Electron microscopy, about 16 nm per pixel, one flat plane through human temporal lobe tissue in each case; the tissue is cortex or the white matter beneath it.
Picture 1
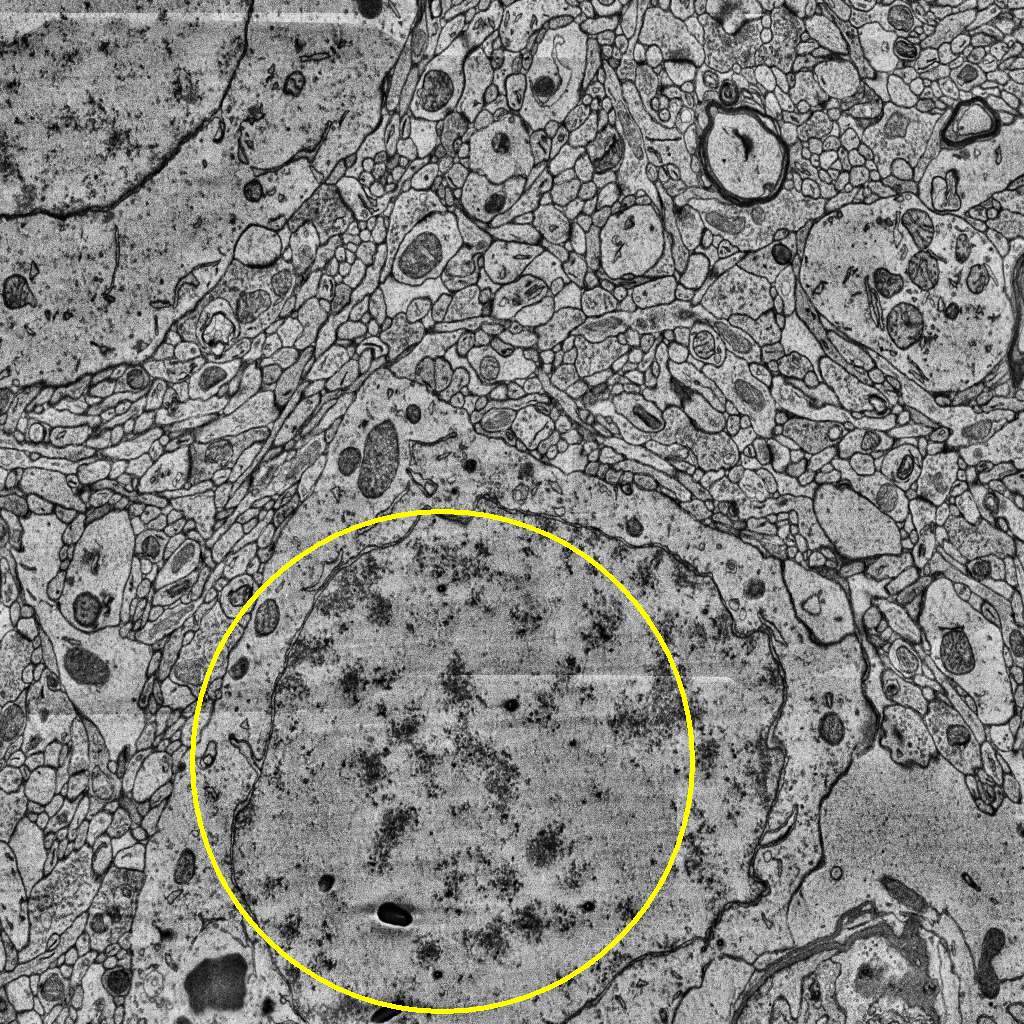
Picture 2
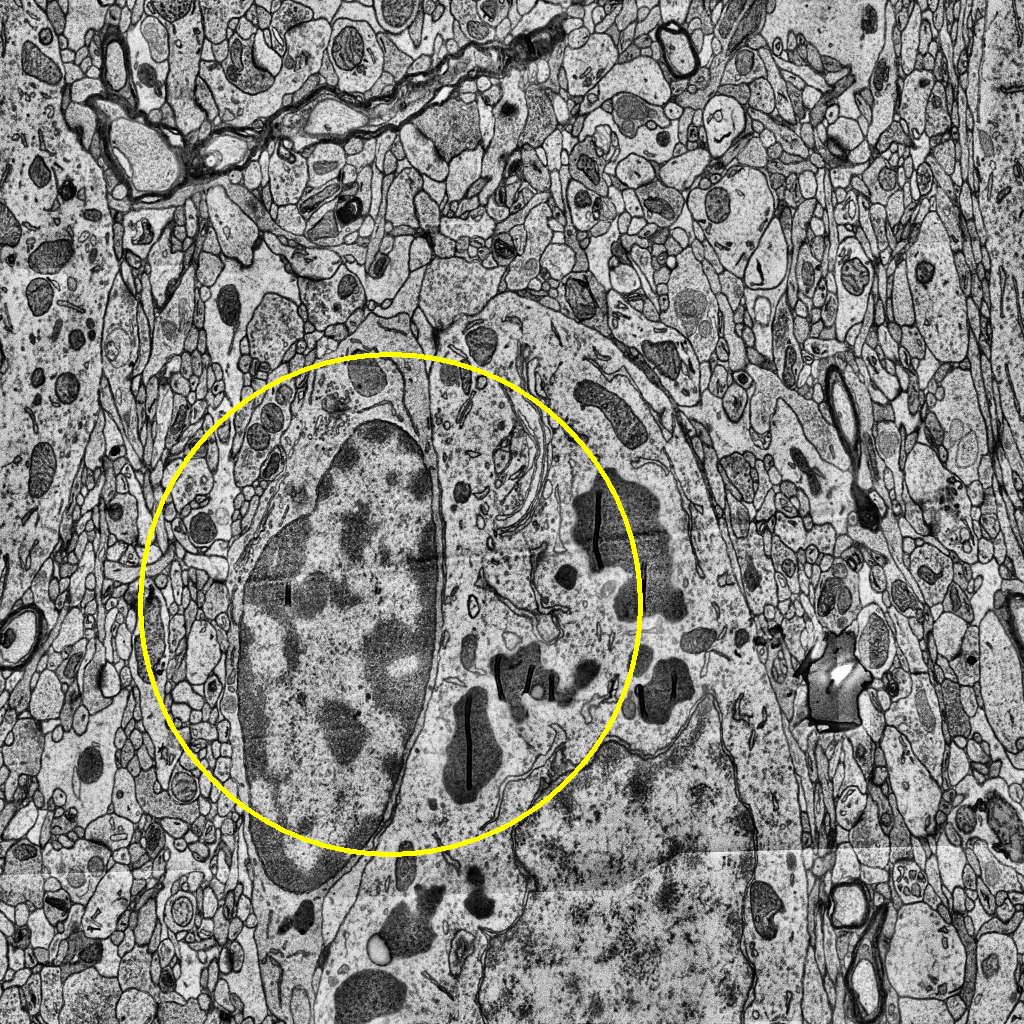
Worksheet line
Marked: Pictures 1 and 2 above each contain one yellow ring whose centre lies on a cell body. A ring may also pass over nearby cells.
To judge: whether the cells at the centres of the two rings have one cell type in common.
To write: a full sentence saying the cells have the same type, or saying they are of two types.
The cells at the centres of the rings in Picture 1 and Picture 2 are of two types.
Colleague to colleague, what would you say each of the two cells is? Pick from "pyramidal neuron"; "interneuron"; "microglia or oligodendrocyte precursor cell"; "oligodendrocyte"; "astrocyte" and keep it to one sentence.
The two differ: the first cell is an interneuron and the second is a microglial cell or oligodendrocyte precursor cell.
